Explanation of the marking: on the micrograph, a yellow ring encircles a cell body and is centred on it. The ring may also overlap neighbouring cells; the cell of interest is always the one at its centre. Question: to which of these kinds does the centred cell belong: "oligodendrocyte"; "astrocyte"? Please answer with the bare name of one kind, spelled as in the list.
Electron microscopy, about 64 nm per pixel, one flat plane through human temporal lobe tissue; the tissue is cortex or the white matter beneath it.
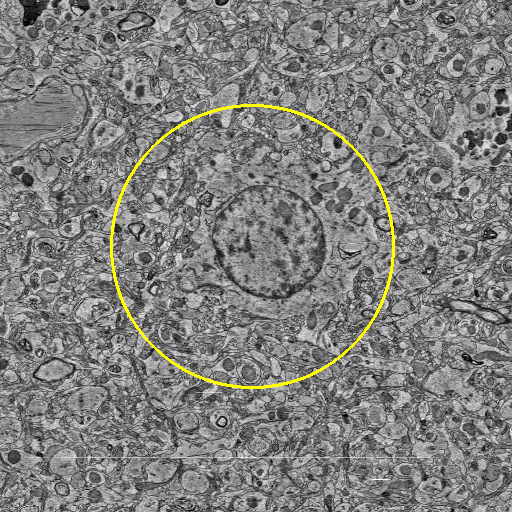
astrocyte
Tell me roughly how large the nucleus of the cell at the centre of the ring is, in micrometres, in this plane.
The nucleus appears about 7 micrometres across in this plane.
